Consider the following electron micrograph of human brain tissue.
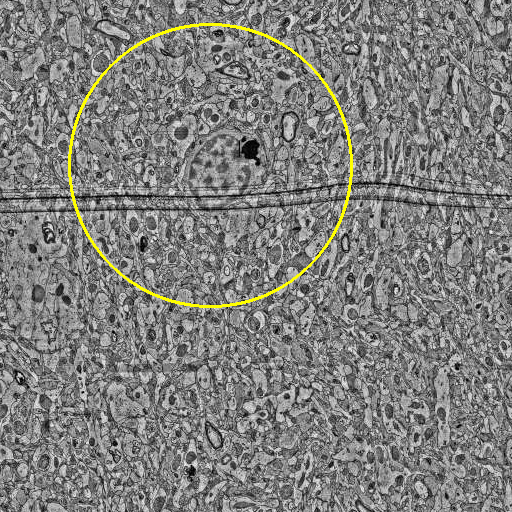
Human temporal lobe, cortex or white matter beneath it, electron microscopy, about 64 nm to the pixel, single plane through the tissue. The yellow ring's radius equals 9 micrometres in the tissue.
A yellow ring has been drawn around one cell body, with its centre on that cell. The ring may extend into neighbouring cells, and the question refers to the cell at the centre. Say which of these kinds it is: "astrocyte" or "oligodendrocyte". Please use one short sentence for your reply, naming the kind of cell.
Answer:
The centre of the ring falls on an oligodendrocyte.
